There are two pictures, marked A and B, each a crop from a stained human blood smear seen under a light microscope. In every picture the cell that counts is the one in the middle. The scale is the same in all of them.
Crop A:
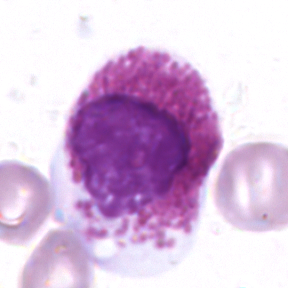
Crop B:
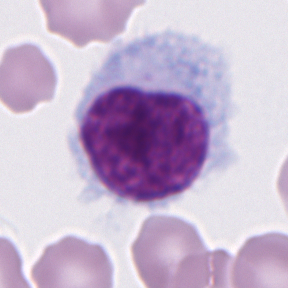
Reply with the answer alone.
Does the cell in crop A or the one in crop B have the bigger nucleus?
A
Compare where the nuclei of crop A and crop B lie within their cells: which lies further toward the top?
A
